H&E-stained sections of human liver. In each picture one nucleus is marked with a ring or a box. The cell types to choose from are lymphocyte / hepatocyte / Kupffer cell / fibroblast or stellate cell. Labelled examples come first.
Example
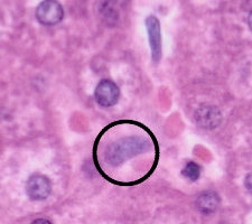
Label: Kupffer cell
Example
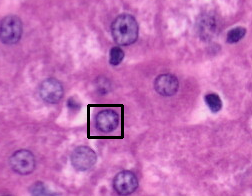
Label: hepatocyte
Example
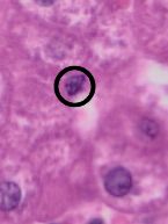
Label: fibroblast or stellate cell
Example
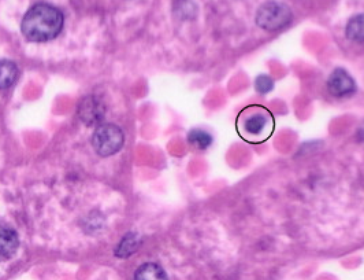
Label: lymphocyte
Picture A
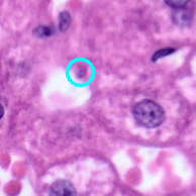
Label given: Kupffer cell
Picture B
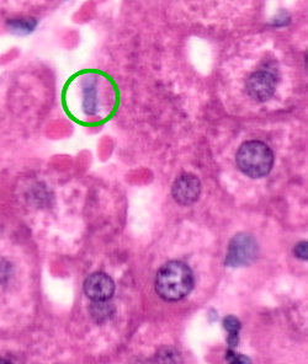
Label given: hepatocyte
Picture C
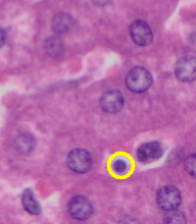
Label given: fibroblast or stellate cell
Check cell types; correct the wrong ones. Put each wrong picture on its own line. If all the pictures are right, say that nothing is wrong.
B is labelled hepatocyte; correct label: Kupffer cell
C is labelled fibroblast or stellate cell; correct label: lymphocyte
